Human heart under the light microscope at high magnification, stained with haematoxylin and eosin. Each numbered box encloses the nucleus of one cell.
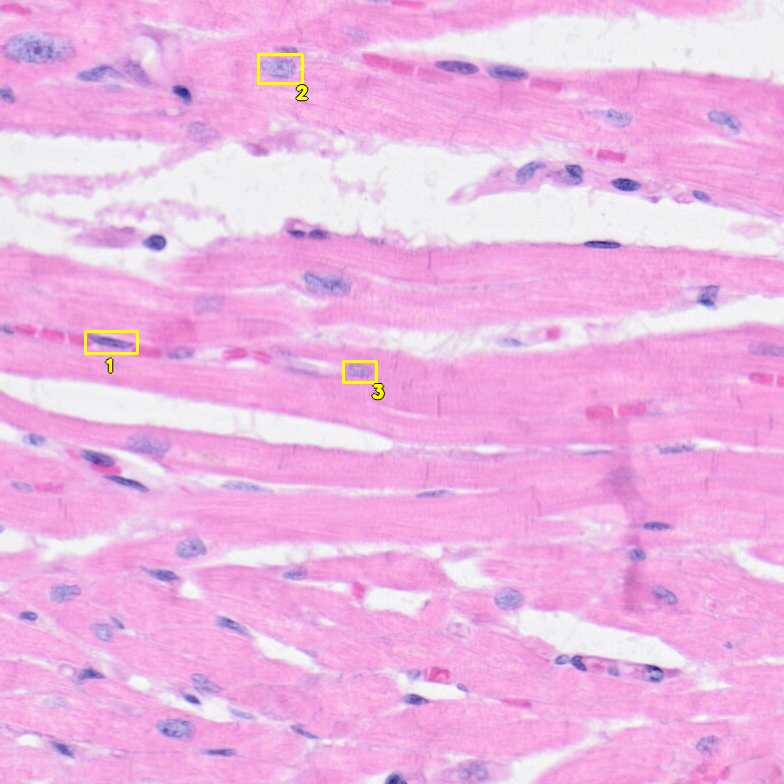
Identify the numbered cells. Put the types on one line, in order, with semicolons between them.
endothelial cell; cardiomyocyte; cardiomyocyte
